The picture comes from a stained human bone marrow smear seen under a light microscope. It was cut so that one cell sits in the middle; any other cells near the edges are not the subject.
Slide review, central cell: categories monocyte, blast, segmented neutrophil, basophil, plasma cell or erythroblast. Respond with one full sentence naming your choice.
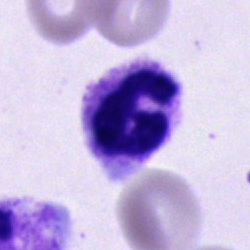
As for the cell in the middle, it is a segmented neutrophil.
